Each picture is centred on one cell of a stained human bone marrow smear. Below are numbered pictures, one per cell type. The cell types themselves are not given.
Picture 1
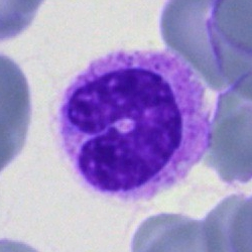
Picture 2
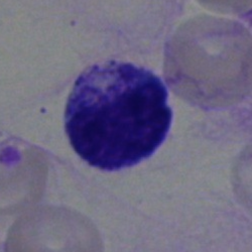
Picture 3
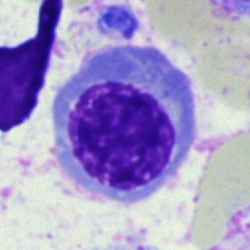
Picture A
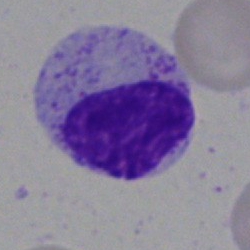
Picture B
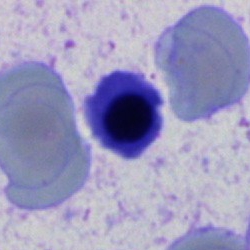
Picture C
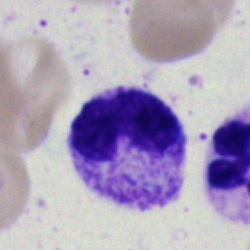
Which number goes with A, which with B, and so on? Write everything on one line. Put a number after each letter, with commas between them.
A 2, B 3, C 1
